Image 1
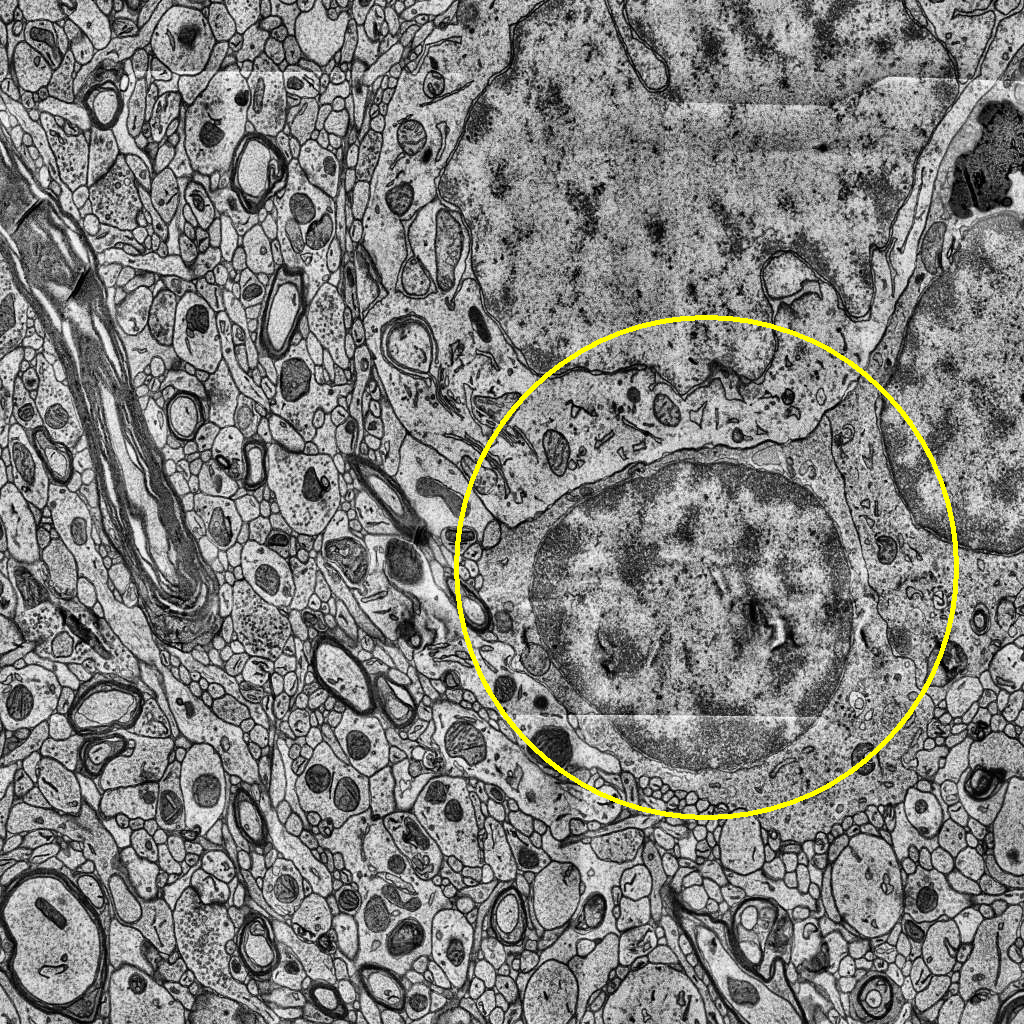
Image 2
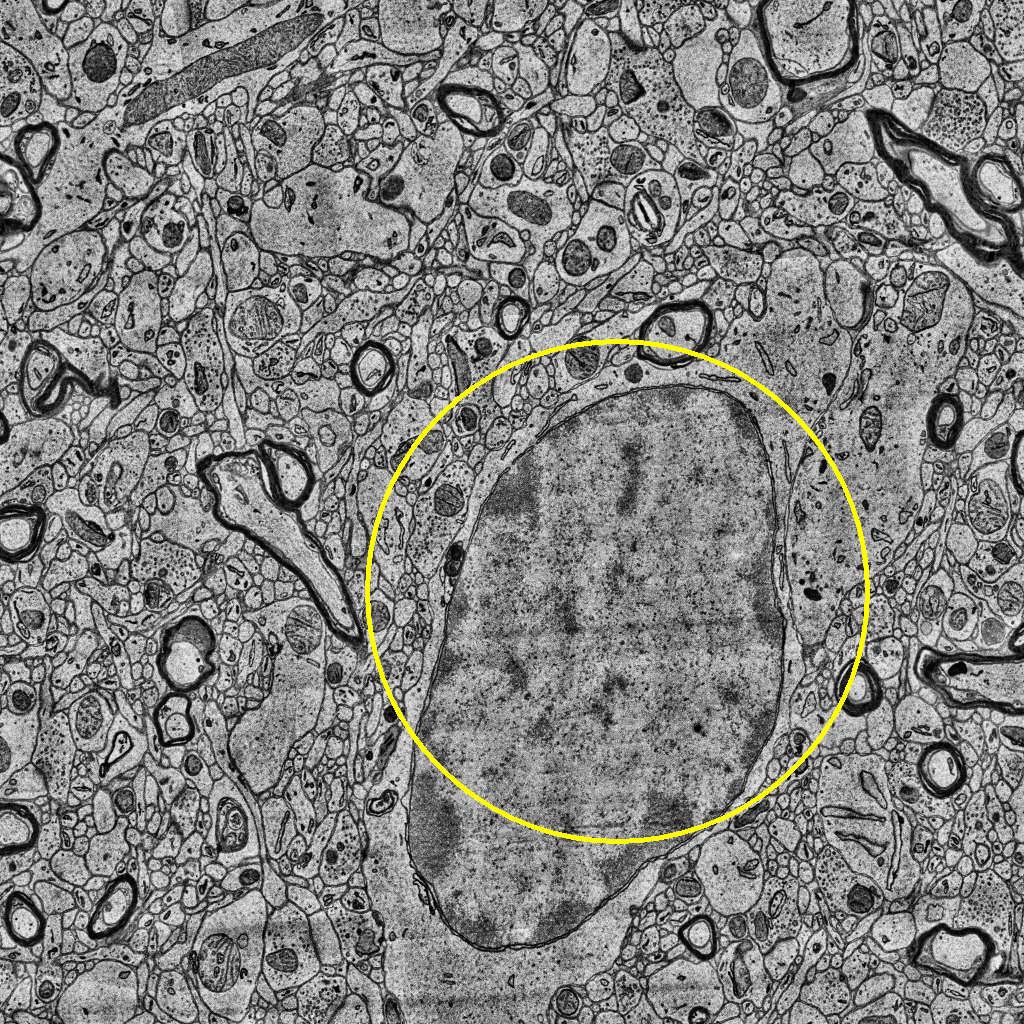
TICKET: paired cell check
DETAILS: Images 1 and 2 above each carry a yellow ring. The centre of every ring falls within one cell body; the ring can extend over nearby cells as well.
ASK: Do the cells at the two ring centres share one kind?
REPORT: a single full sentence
No, the cells at the ring centres of Images 1 and 2 belong to two kinds.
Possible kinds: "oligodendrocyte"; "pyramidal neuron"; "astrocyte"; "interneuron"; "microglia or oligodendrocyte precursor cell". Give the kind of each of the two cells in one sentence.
The one in the first picture is an oligodendrocyte, while the one in the second is a microglial cell or oligodendrocyte precursor cell.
